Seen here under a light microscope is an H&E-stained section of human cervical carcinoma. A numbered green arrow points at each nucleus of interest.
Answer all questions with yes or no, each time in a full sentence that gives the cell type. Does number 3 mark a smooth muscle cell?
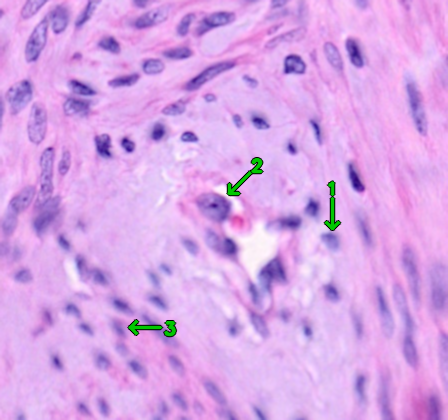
Yes, the nucleus numbered 3 belongs to a smooth muscle cell.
